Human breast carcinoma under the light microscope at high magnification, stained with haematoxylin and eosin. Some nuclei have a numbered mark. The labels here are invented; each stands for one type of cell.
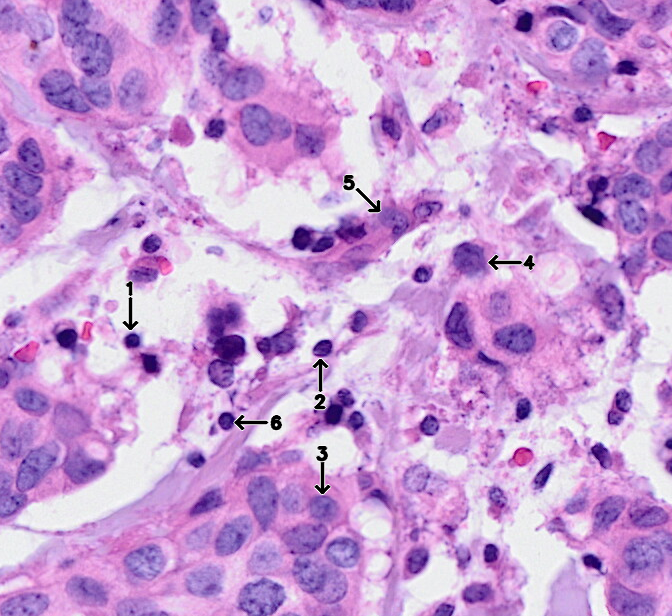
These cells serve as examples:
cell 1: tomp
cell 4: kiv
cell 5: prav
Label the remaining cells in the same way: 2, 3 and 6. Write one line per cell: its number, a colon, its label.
2: tomp
3: kiv
6: tomp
